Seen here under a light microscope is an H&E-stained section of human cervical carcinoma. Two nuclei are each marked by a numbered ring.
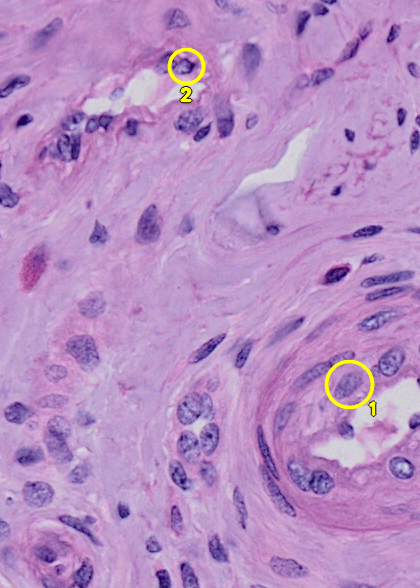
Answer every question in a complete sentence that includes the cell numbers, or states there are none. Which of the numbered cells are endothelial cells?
It is cell 2, and no other numbered cell, that is an endothelial cell.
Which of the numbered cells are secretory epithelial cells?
Of the numbered cells, none can be classed as secretory epithelial cells.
